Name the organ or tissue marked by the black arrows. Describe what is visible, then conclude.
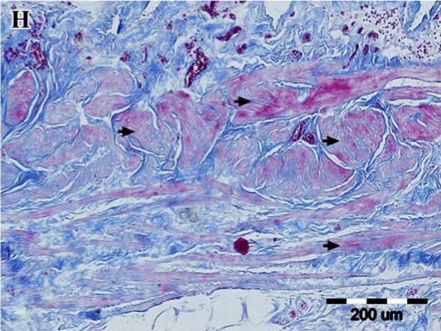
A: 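Smooth muscles. Arrows point to pinkish-red bundles set in blue-stained connective tissue. Bundles are elongated and fascicular.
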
